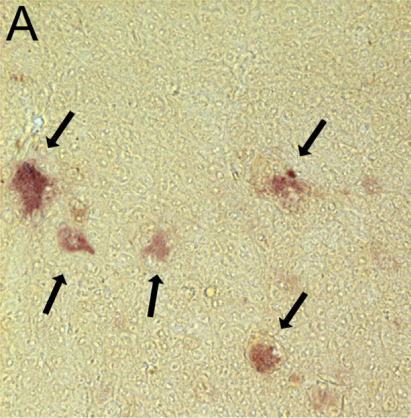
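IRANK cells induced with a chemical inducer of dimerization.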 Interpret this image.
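This is a culture in which scattered osteoclasts stand out as purple-red stained cells among a dense carpet of small, pale, unstained cells. The stained cells are large and irregular in outline, several times the size of their neighbours, with the colour densest toward their centres and fading at the edges. Some are deeply stained, while a few smaller ones are only faintly pink. The background cells form a tightly packed, cobblestone-like layer with barely visible outlines.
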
